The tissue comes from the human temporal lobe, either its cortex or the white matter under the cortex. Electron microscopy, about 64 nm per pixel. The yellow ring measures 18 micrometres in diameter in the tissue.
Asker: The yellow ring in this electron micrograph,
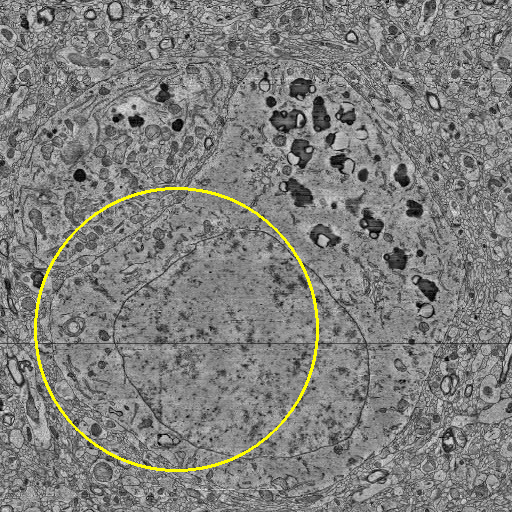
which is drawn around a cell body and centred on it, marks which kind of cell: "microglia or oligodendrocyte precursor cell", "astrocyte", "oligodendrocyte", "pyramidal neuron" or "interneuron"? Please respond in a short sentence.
The marked cell is a pyramidal neuron.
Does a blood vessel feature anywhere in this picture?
No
